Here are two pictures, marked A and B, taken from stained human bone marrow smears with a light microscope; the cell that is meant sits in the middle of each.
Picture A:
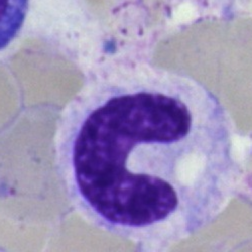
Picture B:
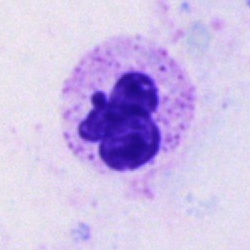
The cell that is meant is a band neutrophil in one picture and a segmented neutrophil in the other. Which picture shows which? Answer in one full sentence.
Picture A shows a band neutrophil and picture B shows a segmented neutrophil.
